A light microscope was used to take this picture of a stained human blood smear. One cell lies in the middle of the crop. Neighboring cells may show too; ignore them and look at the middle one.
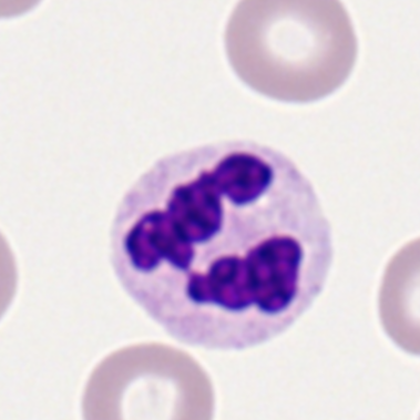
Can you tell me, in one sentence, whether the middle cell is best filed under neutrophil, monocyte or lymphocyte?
The cell that lies at the centre of the crop is a neutrophil.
